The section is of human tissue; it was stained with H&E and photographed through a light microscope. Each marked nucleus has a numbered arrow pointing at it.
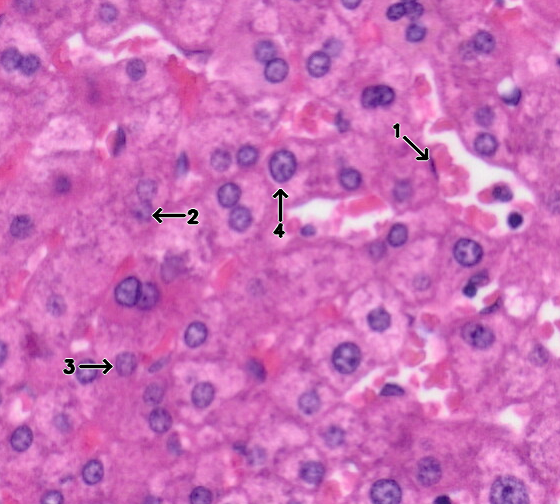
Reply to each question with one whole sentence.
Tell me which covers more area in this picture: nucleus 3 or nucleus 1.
Nucleus 3 is the larger one, covering about 2.5 times the area of nucleus 1.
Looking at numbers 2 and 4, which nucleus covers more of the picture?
It is nucleus 4, which covers about 2 times the area of nucleus 2.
